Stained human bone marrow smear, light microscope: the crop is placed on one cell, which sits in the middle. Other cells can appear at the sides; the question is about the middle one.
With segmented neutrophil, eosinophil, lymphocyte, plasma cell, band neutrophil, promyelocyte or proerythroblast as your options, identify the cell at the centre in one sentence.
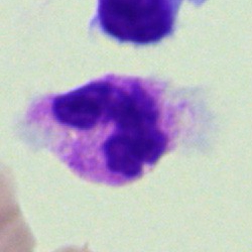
The cell of interest, located centrally, is a segmented neutrophil.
